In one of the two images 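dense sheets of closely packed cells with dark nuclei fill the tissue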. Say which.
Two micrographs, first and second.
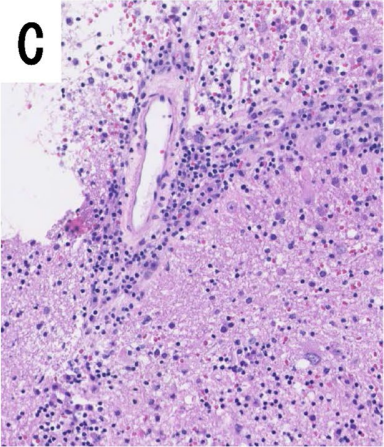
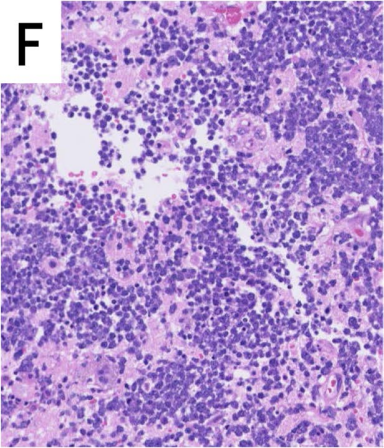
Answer: The second image.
